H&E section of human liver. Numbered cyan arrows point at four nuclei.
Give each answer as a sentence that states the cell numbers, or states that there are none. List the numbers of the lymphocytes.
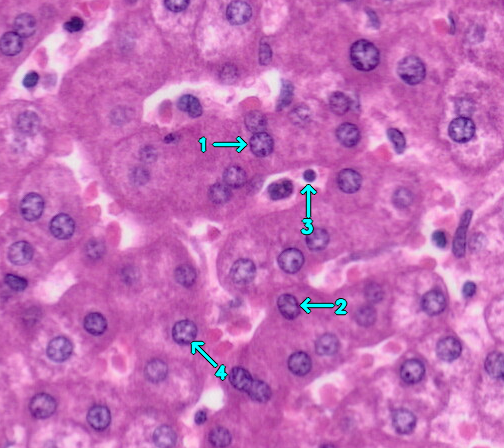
Only one of the numbered nuclei, number 3, belongs to a lymphocyte.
